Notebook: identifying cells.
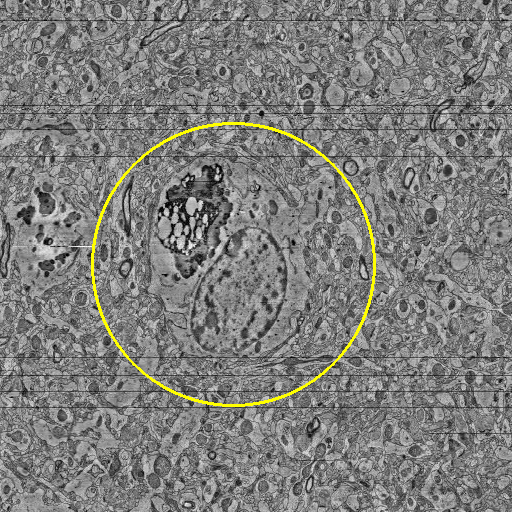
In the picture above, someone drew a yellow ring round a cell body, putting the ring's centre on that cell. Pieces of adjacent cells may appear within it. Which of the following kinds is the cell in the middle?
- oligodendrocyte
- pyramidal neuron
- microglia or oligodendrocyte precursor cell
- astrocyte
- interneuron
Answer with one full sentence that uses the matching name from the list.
In this picture, the yellow ring is centred on the body of an astrocyte.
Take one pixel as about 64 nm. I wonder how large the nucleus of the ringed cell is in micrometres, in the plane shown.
Roughly 9 by 5 micrometres; in this plane, clearly longer than it is wide.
